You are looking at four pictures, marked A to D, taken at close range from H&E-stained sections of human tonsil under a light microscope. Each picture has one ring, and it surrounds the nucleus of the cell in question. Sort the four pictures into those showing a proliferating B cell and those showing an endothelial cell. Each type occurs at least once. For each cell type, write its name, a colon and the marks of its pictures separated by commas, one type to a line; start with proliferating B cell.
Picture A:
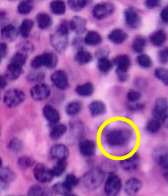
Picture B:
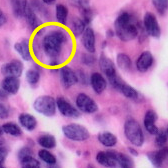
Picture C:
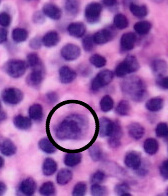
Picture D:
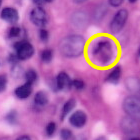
proliferating B cell: A, B, C
endothelial cell: D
